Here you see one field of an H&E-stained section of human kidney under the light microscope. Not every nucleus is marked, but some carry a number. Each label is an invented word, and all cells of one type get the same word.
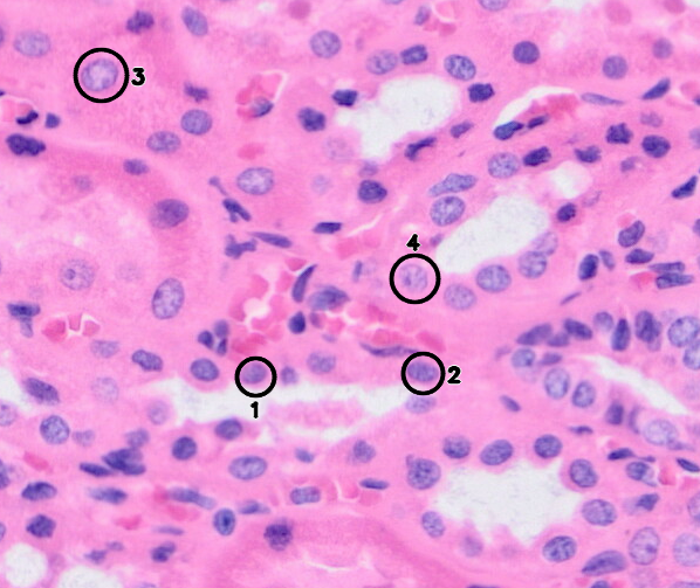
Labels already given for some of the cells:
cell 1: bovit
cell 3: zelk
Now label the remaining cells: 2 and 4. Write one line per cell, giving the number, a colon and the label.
2: bovit
4: bovit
